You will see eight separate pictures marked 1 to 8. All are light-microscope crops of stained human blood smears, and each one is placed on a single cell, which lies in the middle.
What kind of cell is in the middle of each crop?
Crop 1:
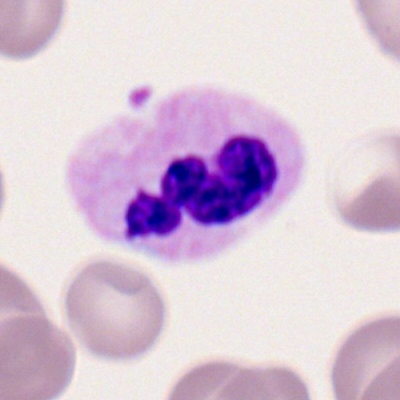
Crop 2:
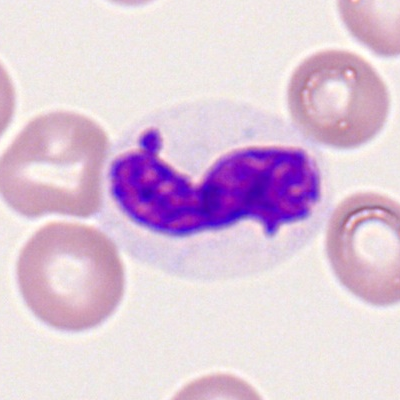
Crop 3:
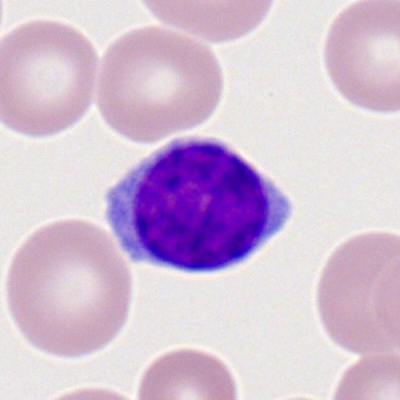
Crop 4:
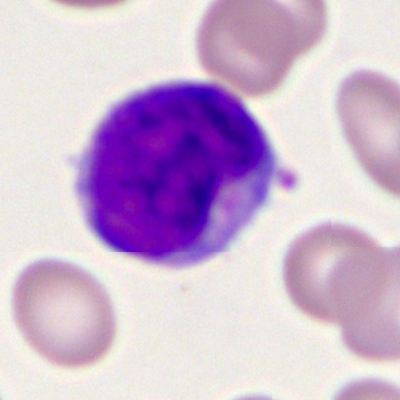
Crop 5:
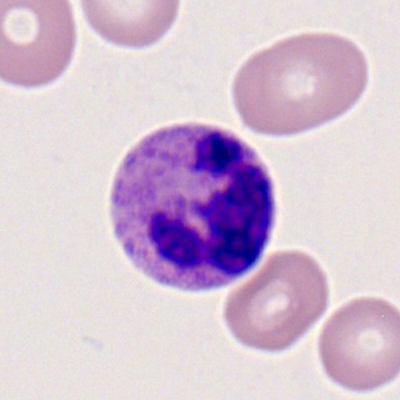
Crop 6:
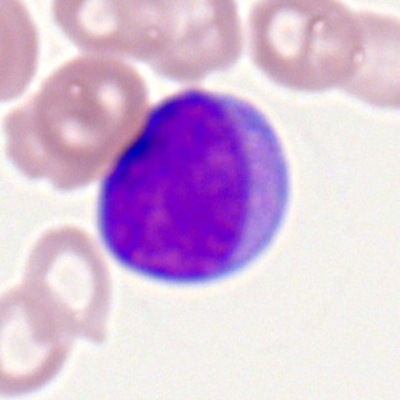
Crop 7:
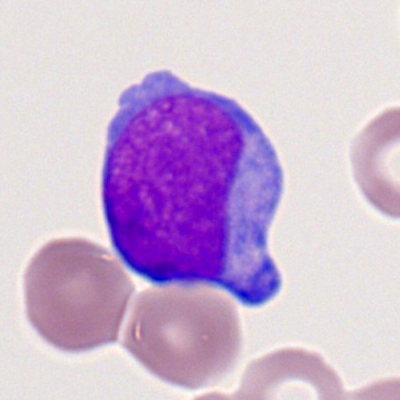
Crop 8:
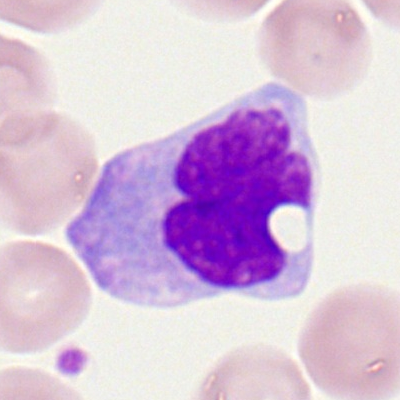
1: segmented neutrophil
2: segmented neutrophil
3: lymphocyte
4: myeloblast
5: segmented neutrophil
6: myeloblast
7: myeloblast
8: monocyte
